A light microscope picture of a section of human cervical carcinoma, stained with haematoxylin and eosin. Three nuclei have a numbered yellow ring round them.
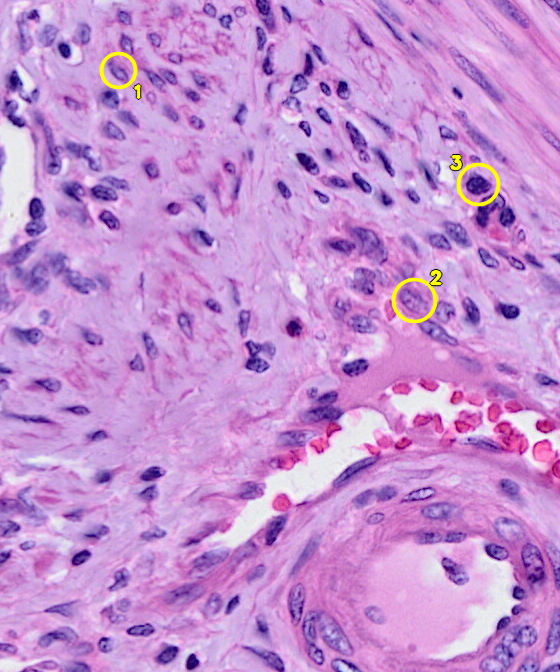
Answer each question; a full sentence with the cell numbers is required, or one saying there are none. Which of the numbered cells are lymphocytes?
Cell 3 is a lymphocyte, and it is the only numbered cell that is.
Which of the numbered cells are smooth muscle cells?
Cell 1 is a smooth muscle cell, and it is the only numbered cell that is.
